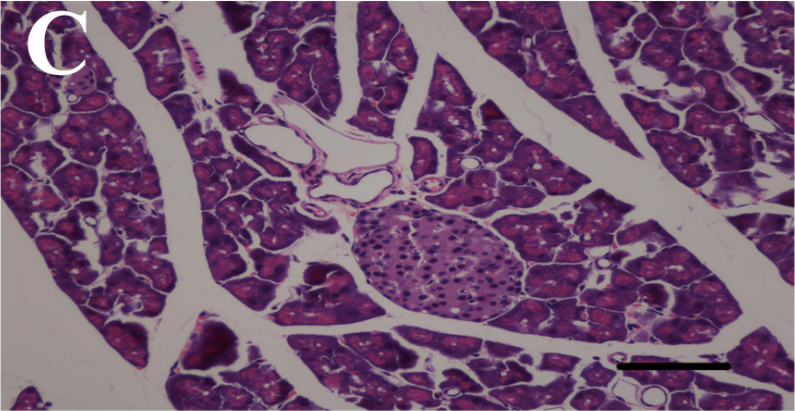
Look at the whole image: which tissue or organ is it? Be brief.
pancreatic tissues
